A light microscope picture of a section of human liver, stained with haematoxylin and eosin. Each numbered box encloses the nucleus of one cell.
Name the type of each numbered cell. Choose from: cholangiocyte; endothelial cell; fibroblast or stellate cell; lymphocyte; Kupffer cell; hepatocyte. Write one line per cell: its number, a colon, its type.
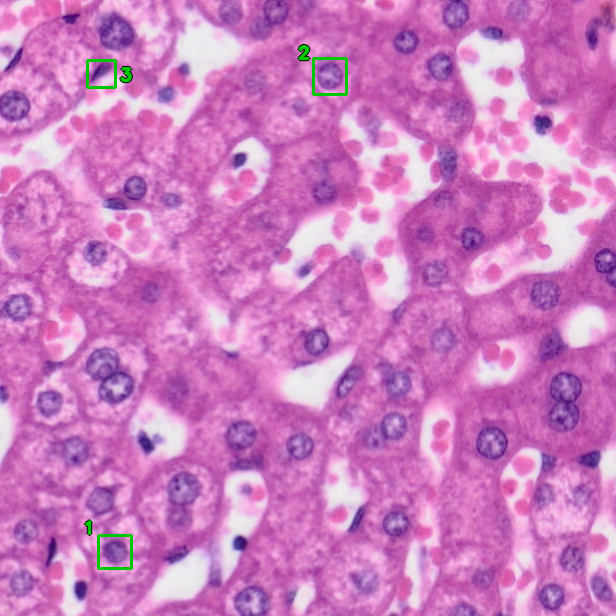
1: hepatocyte
2: hepatocyte
3: fibroblast or stellate cell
